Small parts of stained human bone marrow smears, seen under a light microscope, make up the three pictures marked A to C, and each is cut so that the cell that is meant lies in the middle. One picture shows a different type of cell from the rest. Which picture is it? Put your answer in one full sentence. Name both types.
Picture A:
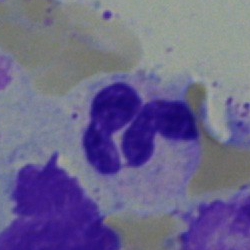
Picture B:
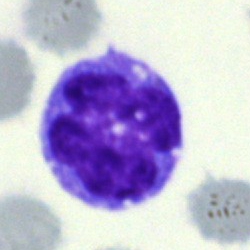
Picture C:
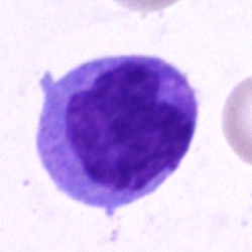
The others show monocytes, but picture A shows a segmented neutrophil.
